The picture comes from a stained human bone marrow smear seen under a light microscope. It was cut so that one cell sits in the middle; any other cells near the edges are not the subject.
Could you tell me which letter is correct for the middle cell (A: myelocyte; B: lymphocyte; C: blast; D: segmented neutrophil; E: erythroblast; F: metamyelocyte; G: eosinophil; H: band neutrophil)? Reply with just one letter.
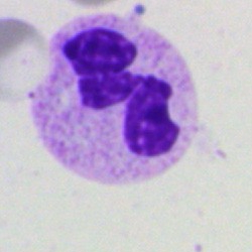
D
